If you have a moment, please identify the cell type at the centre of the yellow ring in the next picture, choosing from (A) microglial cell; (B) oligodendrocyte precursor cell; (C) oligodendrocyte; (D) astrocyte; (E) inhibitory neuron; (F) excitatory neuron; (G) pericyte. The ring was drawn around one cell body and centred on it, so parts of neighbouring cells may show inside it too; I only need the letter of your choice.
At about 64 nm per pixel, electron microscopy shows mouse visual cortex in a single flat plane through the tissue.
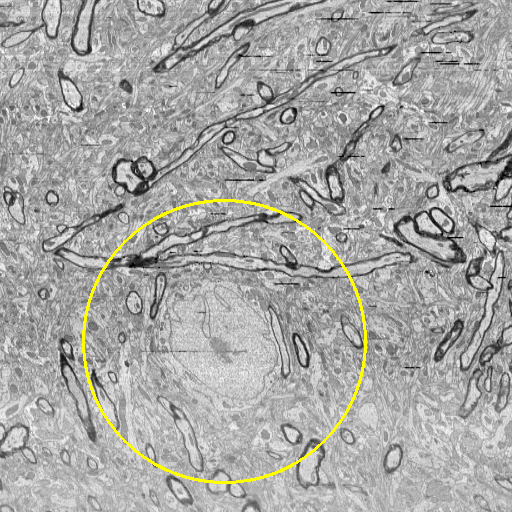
E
